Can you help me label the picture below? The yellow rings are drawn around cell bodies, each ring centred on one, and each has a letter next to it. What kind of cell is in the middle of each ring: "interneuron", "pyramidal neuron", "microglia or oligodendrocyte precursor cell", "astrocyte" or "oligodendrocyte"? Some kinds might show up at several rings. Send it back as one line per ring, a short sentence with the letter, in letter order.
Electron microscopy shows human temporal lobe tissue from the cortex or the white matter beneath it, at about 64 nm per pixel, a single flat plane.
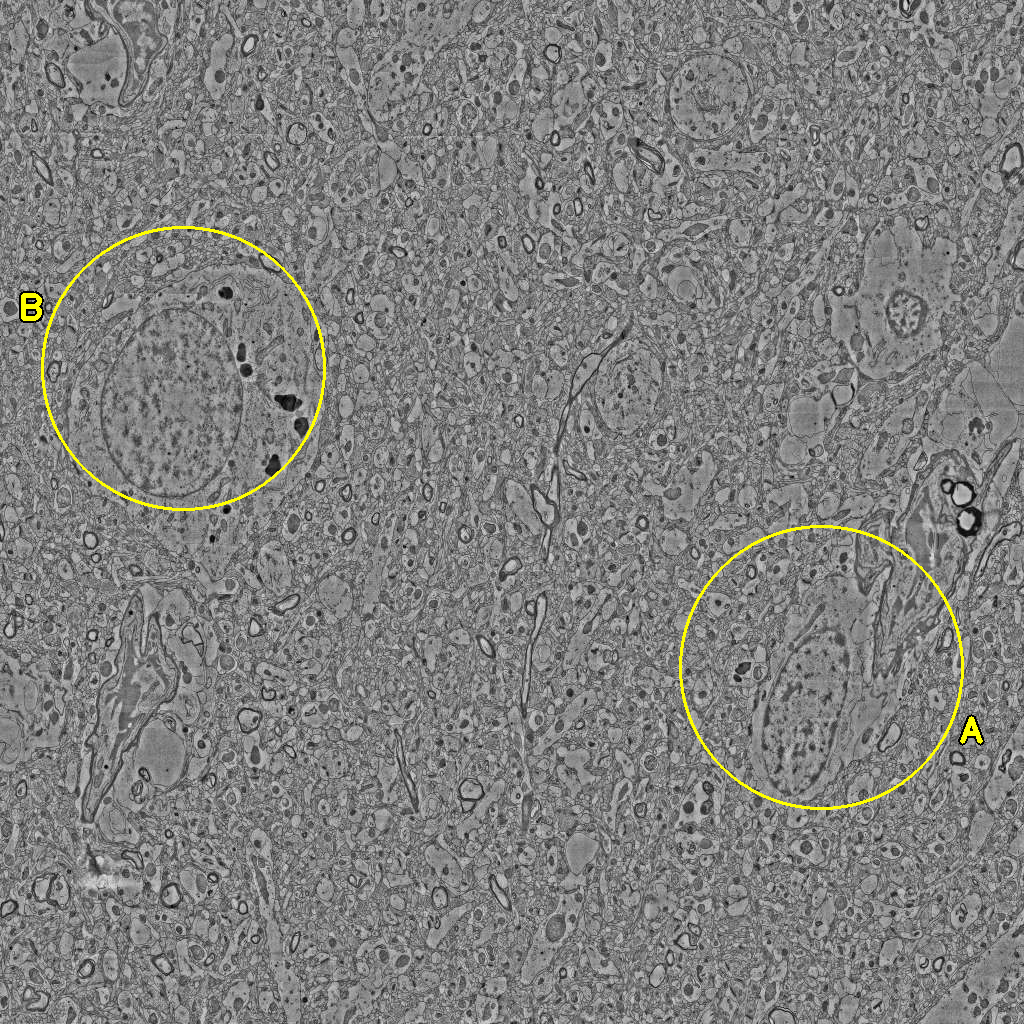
Ring A has a microglial cell or oligodendrocyte precursor cell in the middle.
Ring B has an interneuron in the middle.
